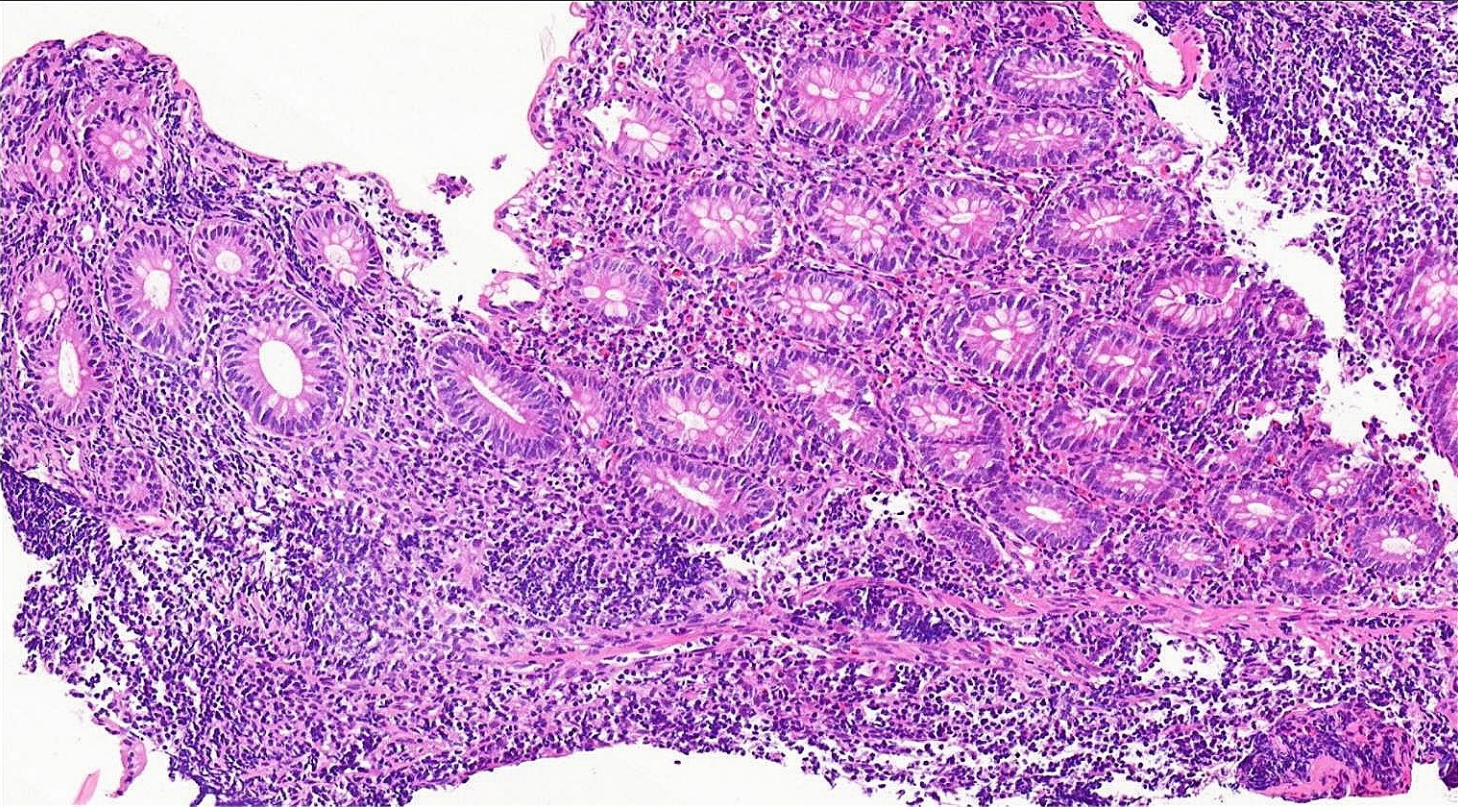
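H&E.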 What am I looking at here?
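This is colonic mucosa with many crypts cut in cross-section, each lined by tall columnar cells and pale, mucin-filled goblet cells around a small central lumen. The lamina propria between the crypts is heavily packed with small, dark, round inflammatory cells, and a dense sheet of similar cells lies beneath the thin pink band of muscularis mucosae. On the left the crypts are more irregular in size and spacing, some with wider lumens, while on the right they are more evenly arranged.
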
